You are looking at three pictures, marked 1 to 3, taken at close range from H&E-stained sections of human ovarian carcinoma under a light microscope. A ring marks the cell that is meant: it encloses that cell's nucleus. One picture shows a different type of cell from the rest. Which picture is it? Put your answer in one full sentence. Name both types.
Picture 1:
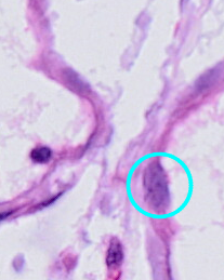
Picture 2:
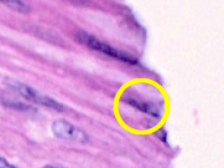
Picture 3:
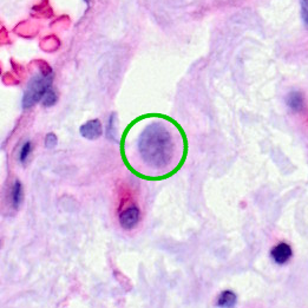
Unlike the rest, which show endothelial cells, picture 2 shows a fibroblast.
